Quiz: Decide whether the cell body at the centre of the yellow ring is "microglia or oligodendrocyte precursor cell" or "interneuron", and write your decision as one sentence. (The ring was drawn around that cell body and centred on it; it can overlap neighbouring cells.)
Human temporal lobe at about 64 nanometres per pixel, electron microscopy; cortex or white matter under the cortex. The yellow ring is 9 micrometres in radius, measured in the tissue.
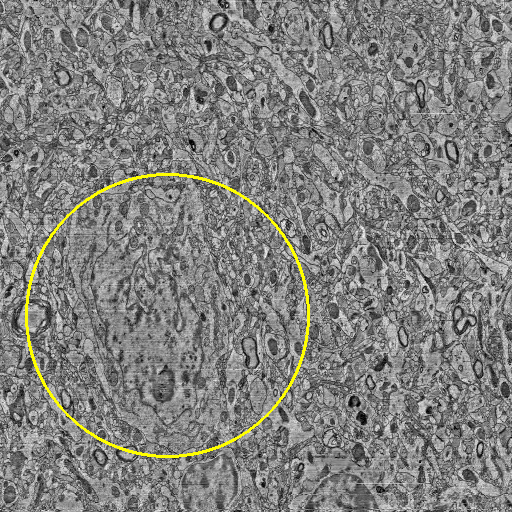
The cell the ring is centred on is an interneuron.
